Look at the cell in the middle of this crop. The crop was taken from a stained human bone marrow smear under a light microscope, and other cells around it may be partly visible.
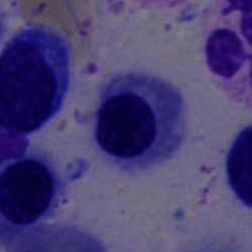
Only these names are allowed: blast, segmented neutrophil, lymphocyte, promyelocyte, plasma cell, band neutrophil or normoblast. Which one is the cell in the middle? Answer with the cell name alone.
normoblast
